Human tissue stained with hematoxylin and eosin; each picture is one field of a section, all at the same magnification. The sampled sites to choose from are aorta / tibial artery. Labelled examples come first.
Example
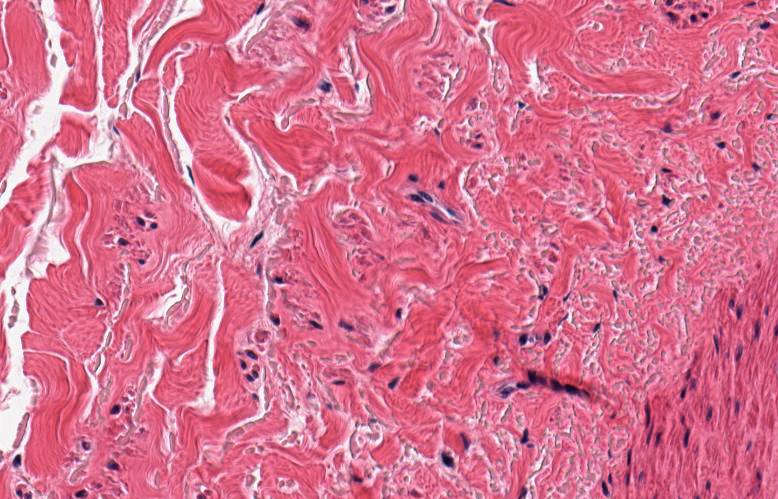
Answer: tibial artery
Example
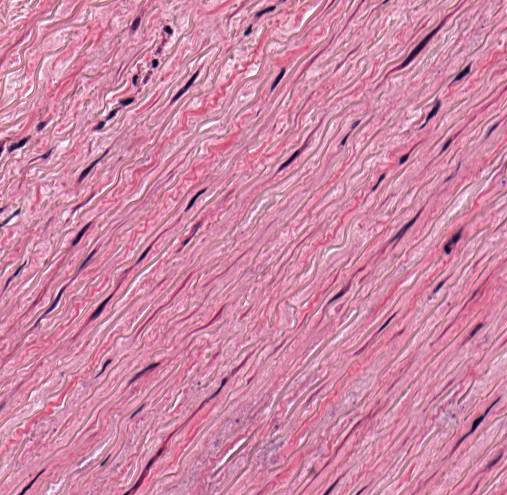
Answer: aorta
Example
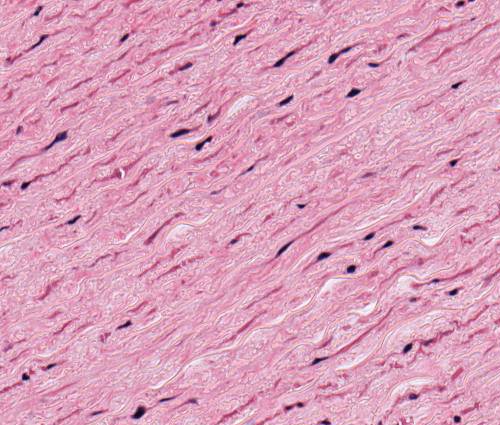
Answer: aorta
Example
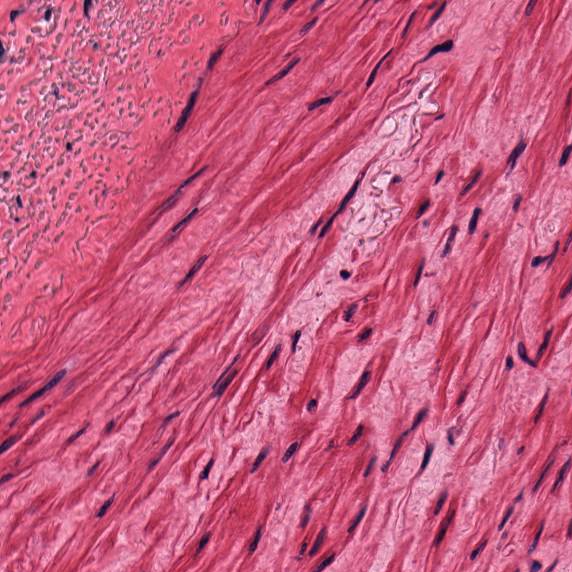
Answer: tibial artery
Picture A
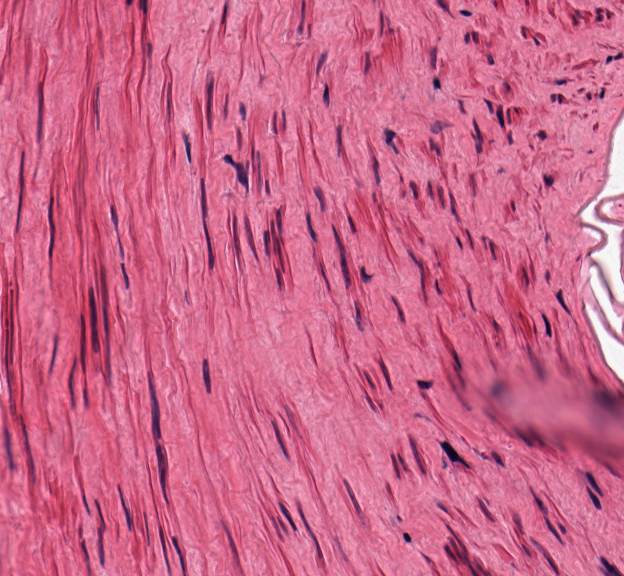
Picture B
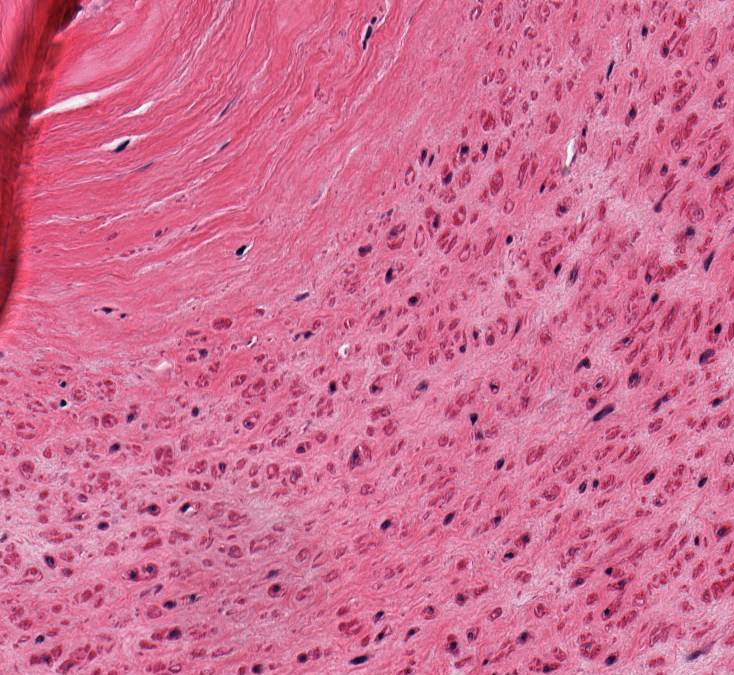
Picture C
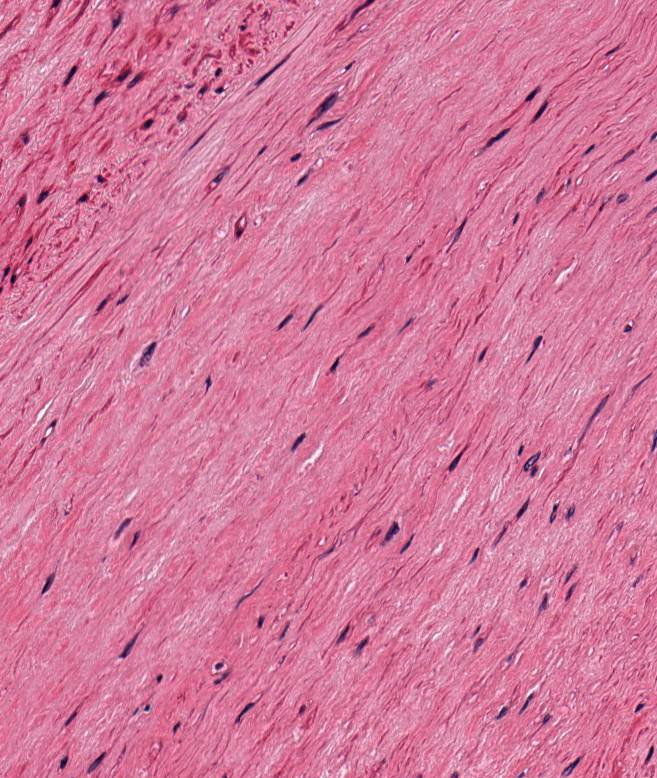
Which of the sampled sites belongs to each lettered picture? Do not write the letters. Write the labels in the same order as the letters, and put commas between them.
tibial artery, tibial artery, aorta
